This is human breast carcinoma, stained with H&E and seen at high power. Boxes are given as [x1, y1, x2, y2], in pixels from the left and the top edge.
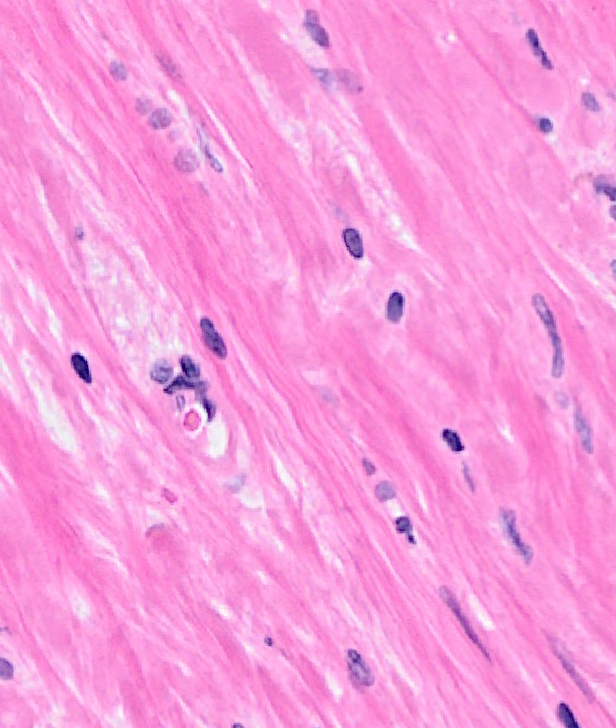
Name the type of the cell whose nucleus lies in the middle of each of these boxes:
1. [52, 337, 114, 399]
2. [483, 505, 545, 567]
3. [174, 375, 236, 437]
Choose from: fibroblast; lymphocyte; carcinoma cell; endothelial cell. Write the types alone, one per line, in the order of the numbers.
lymphocyte
fibroblast
endothelial cell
